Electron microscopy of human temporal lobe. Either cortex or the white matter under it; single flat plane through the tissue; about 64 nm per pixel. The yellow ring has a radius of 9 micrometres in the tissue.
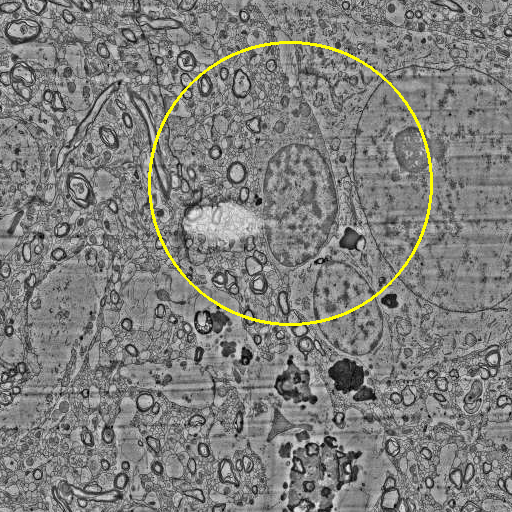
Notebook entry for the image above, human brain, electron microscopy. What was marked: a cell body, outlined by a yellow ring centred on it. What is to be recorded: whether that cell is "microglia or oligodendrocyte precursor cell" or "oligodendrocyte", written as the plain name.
oligodendrocyte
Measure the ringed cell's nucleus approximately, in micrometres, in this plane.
About 8 by 5 micrometers for the nucleus, in this plane.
